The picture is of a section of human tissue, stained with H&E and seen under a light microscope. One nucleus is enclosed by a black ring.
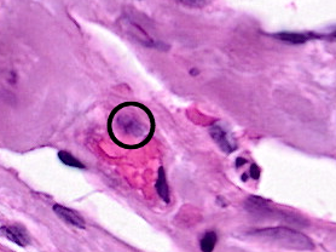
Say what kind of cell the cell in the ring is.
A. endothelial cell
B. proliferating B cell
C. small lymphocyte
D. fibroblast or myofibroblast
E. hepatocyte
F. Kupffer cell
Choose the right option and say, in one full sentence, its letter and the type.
That the cell in the ring is an endothelial cell makes option A the correct choice.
